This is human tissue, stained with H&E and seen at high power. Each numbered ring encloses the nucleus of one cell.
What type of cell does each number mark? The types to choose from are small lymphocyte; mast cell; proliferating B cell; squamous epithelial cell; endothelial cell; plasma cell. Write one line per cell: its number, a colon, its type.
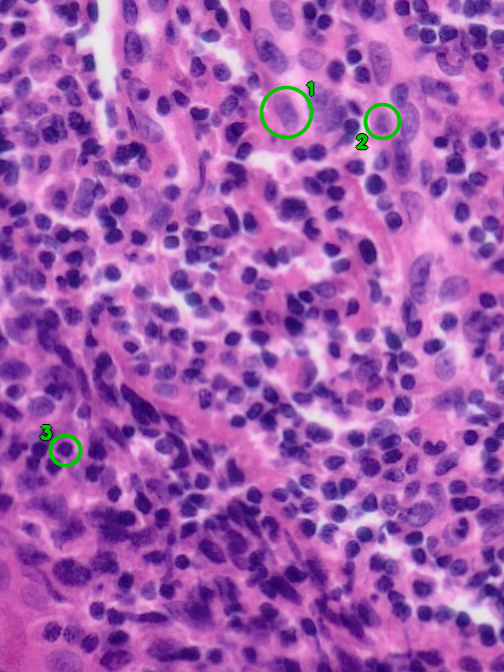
1: endothelial cell
2: endothelial cell
3: squamous epithelial cell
